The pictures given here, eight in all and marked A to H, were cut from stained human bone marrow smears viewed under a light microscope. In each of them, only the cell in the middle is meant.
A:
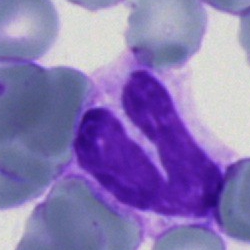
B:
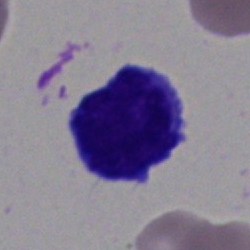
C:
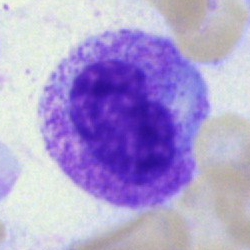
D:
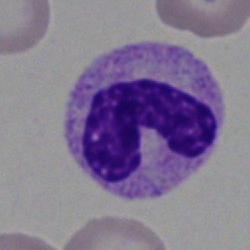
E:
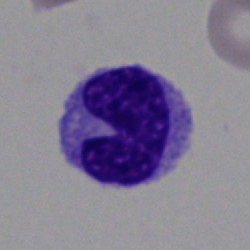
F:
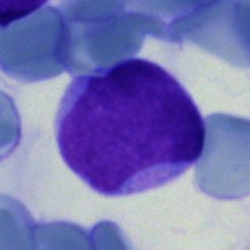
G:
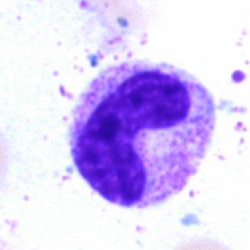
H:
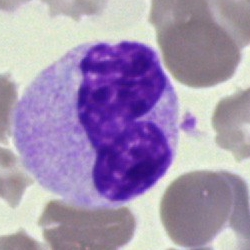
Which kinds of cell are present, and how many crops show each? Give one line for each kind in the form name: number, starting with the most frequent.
band neutrophil: 5
blast: 2
metamyelocyte: 1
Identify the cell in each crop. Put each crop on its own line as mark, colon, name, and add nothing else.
A: band neutrophil
B: blast
C: metamyelocyte
D: band neutrophil
E: band neutrophil
F: blast
G: band neutrophil
H: band neutrophil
